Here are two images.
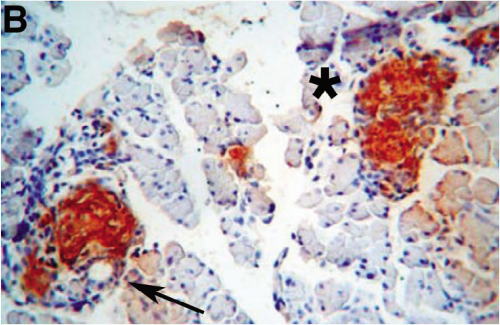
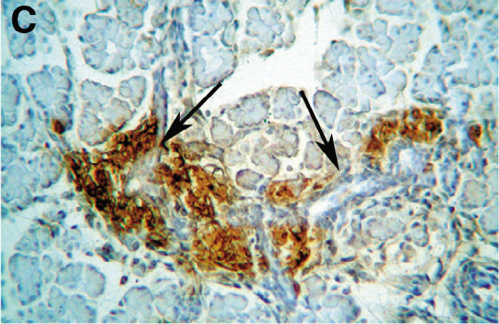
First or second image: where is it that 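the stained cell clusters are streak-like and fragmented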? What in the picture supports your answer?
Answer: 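Second image: brown-stained cells are spread in elongated, broken streaks. First image: brown-stained cells form round, compact clusters. On this evidence: the second image.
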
